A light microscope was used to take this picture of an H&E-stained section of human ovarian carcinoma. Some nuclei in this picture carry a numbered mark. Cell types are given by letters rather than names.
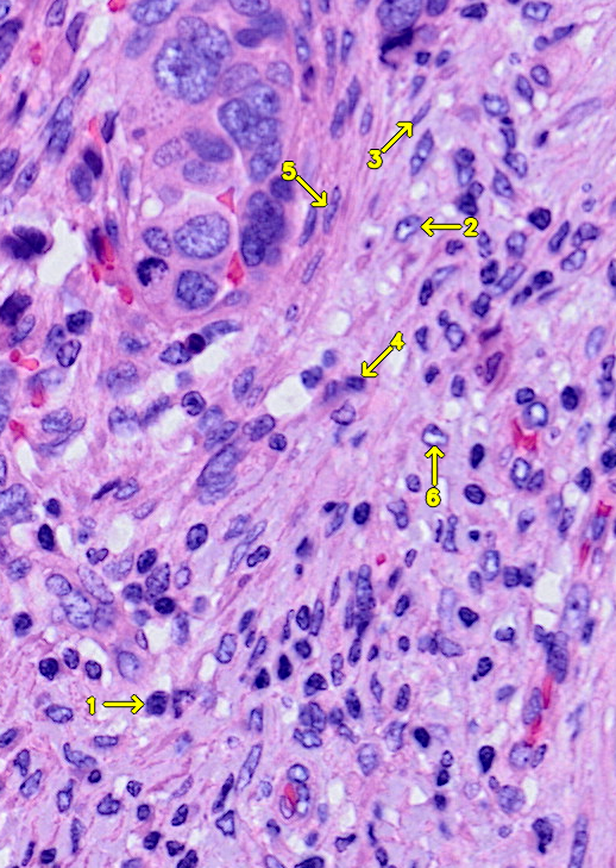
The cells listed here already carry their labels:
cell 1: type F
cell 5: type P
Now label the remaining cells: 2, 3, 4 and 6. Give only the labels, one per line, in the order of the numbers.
type P
type P
type F
type P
